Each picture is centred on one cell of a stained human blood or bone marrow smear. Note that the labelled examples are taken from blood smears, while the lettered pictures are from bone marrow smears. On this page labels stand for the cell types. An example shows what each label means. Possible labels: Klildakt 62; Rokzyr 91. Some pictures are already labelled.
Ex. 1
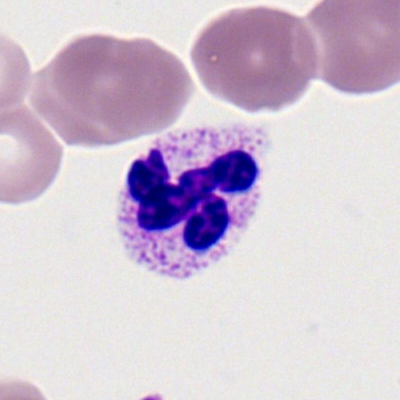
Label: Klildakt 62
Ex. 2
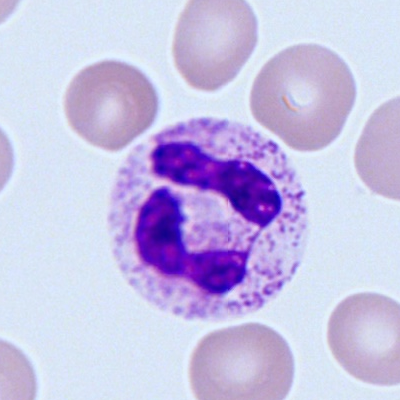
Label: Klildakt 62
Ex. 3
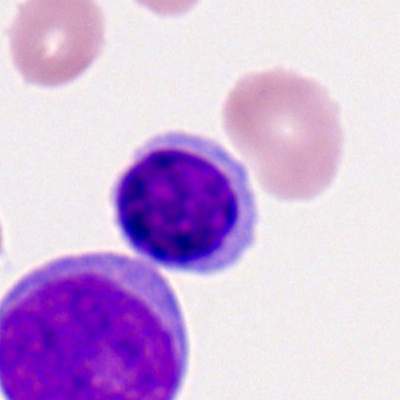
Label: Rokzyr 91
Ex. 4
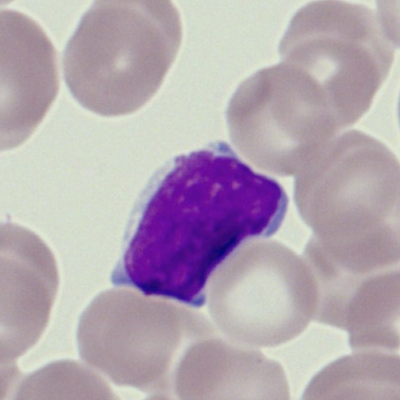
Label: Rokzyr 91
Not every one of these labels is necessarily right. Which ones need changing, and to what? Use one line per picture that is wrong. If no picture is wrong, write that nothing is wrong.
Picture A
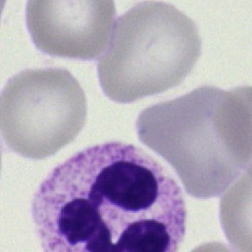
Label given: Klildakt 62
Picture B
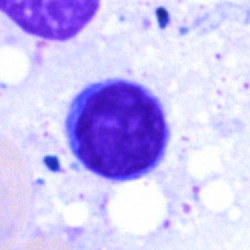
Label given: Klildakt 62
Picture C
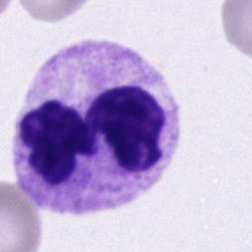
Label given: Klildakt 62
B: change Klildakt 62 to Rokzyr 91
